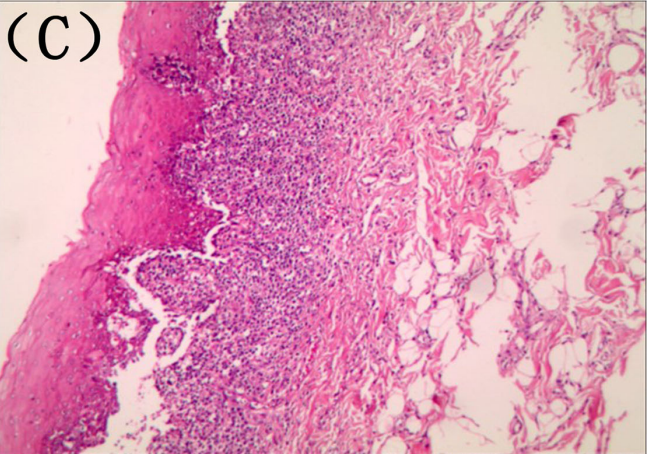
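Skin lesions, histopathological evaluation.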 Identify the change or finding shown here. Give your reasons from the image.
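Inflammatory cell infiltration in the superficial dermis. A dense band of small dark-nucleated cells lies just beneath the pink epidermis. Deeper dermis to the right is loose and pale with few cells.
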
